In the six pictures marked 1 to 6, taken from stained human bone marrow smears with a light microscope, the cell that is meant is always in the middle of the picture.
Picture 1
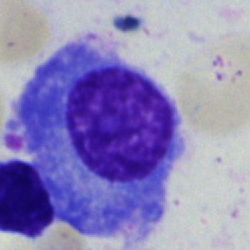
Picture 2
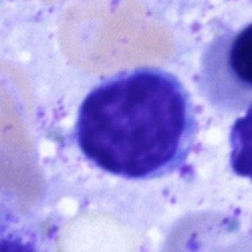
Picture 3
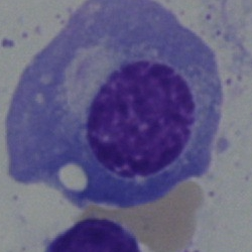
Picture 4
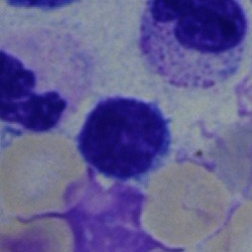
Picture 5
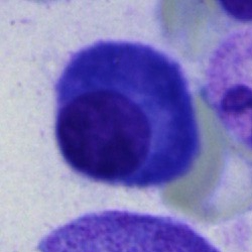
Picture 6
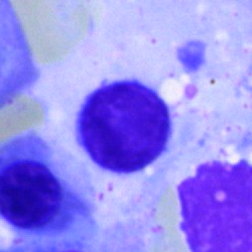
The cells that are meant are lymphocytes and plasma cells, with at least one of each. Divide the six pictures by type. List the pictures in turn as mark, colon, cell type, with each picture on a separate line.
1: plasma cell
2: lymphocyte
3: plasma cell
4: lymphocyte
5: plasma cell
6: lymphocyte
